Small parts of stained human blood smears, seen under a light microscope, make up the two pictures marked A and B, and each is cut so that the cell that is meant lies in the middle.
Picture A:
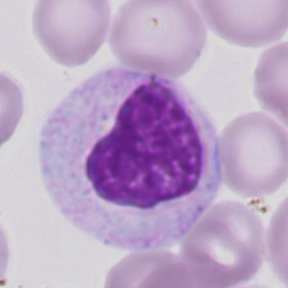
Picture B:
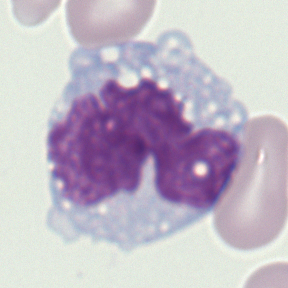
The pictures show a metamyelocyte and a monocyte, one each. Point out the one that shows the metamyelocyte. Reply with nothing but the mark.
A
